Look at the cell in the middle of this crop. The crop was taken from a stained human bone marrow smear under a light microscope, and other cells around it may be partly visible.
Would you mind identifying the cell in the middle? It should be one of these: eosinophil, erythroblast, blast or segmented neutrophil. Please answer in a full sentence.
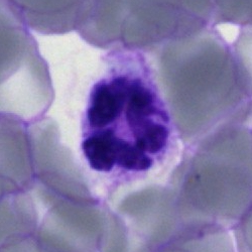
The cell at the middle of the frame should be recorded as a segmented neutrophil.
